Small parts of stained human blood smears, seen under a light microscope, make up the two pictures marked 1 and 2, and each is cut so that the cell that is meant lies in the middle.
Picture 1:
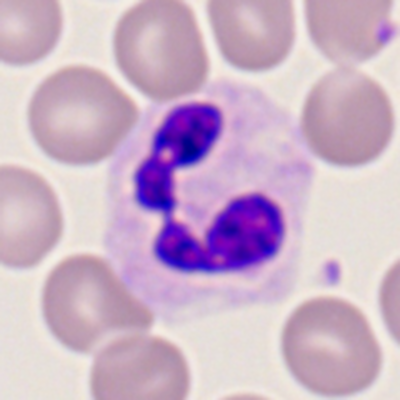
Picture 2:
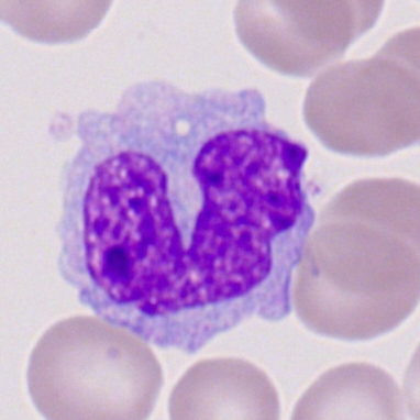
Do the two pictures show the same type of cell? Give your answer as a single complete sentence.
No, picture 1 shows a segmented neutrophil and picture 2 shows a monocyte.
